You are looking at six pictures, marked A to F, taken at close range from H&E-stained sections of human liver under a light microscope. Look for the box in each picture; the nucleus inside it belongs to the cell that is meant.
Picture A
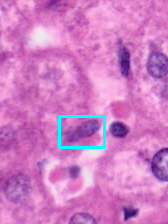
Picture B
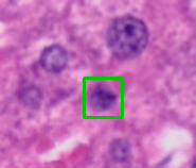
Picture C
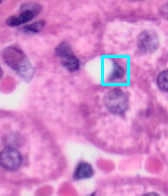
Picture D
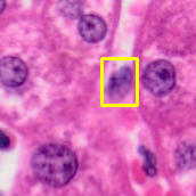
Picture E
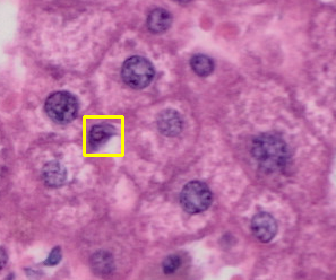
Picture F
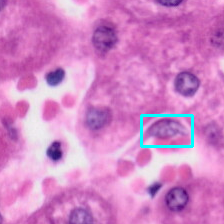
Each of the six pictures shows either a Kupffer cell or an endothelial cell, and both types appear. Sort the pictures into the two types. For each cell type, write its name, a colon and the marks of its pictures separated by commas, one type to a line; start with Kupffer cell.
Kupffer cell: A, F
endothelial cell: B, C, D, E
